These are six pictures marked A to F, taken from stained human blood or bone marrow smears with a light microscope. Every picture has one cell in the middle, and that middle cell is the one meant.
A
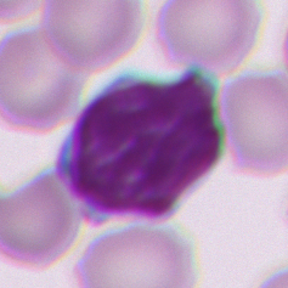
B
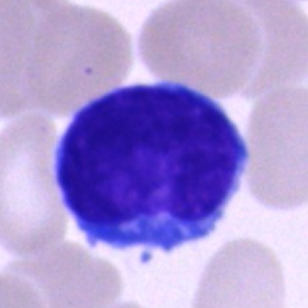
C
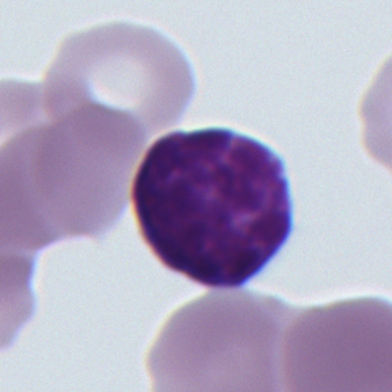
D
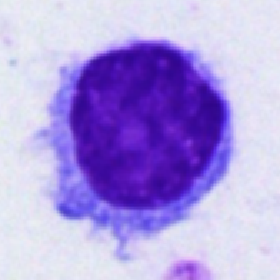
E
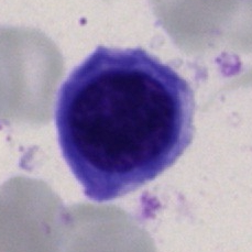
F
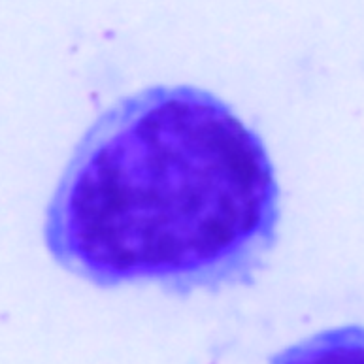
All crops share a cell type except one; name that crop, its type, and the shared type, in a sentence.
All of the other crops show lymphocytes; crop E, by contrast, is an erythroblast.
